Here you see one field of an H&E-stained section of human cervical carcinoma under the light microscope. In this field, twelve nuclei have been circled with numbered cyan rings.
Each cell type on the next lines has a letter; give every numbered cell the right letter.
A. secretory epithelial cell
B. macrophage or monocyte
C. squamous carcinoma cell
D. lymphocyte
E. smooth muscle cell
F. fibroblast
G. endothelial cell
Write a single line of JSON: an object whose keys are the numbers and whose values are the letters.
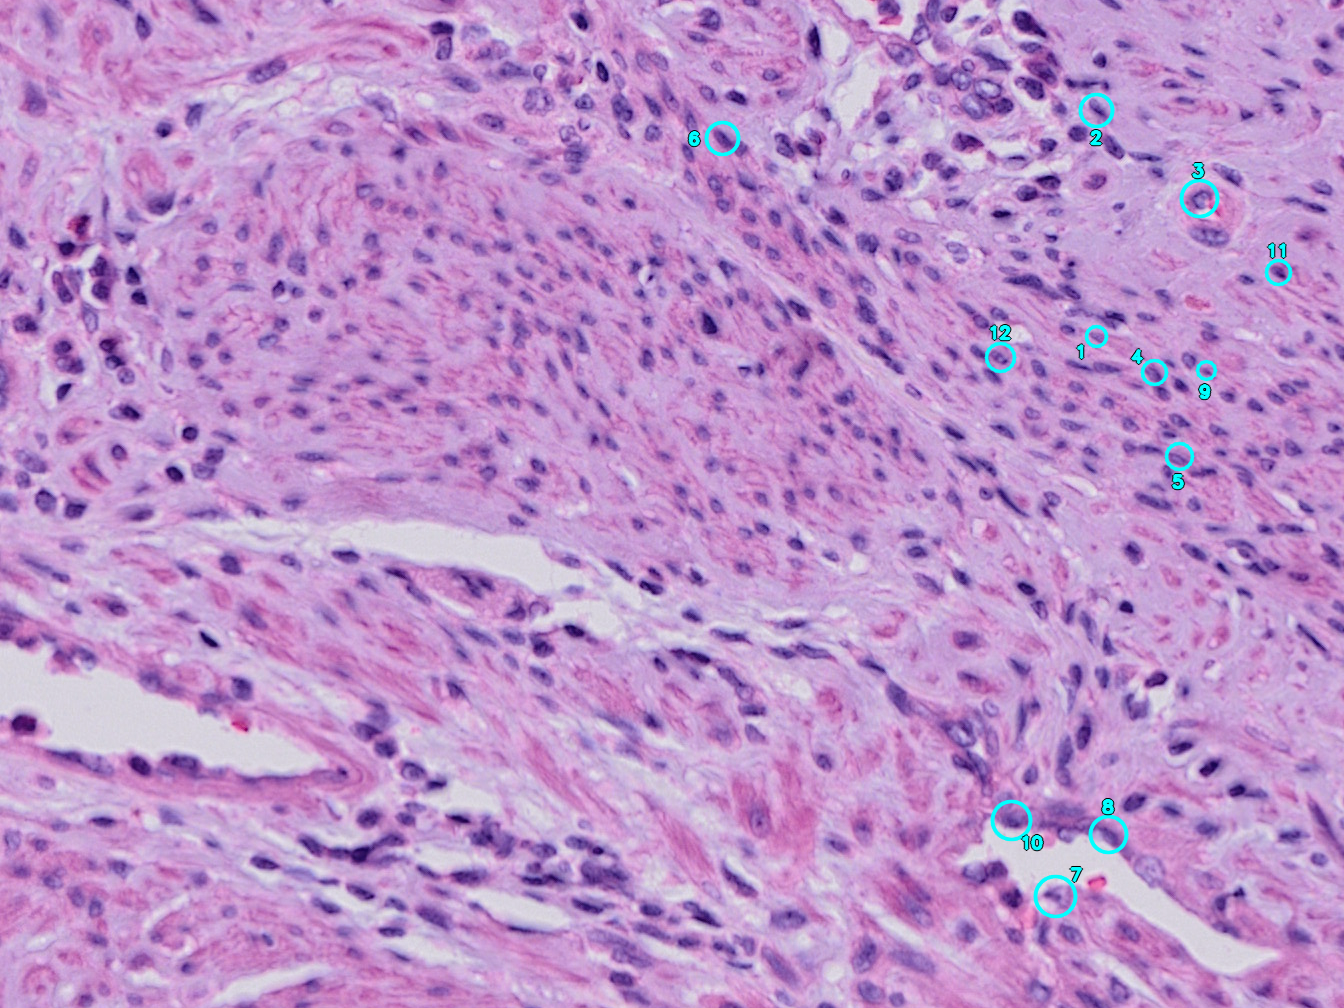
{"1": "E", "2": "F", "3": "G", "4": "E", "5": "E", "6": "E", "7": "G", "8": "G", "9": "E", "10": "G", "11": "E", "12": "E"}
